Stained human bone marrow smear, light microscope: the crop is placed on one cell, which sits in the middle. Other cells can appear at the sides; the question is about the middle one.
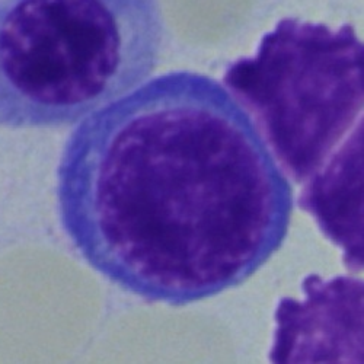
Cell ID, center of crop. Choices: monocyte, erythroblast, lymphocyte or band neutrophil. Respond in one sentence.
For this crop, the central cell is an erythroblast.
